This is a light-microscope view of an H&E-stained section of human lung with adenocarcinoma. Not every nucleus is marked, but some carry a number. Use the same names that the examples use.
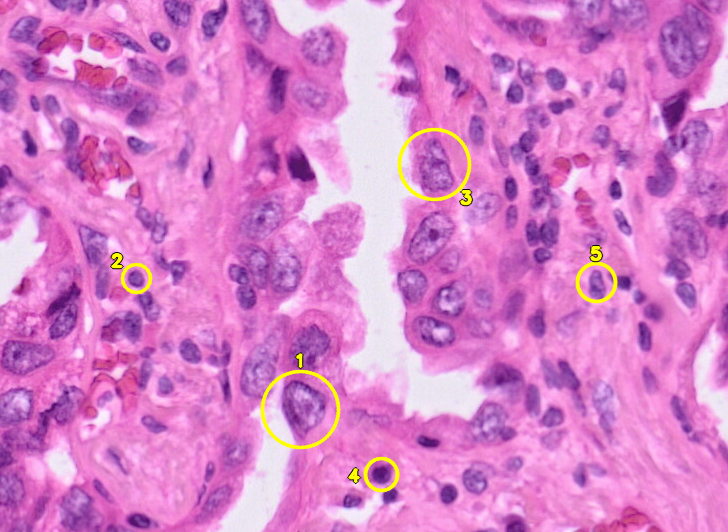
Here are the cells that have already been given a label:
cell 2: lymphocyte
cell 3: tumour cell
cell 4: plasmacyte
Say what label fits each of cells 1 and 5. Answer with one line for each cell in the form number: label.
1: tumour cell
5: lymphocyte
